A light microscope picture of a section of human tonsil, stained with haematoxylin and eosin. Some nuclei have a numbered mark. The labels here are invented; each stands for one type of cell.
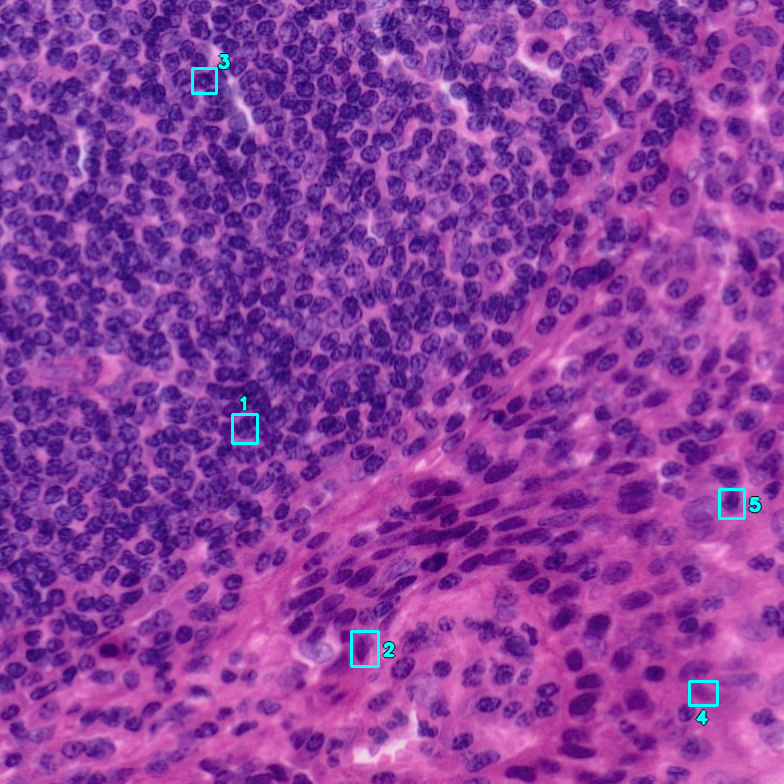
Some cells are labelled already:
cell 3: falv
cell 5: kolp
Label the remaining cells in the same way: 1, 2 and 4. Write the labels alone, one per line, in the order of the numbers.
falv
kolp
kolp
